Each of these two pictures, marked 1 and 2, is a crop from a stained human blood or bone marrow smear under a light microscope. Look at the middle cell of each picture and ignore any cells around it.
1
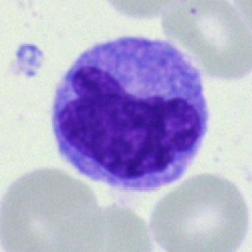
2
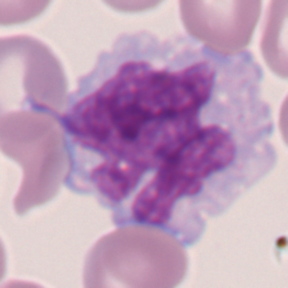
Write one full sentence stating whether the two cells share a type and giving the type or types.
Yes, the centre cells of both crops are monocytes.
